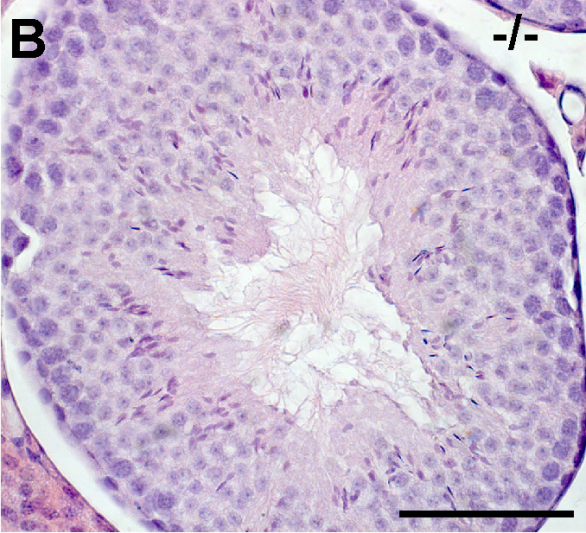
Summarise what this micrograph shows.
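Cross-section of a seminiferous tubule with germ cells from spermatogonia to sperm cells in layers from the wall to the lumen. A thin flat-celled wall bounds the tubule, and a part of a neighbouring tubule lies at the edge. Several rows of round cells with purple nuclei fill the outer and middle epithelium. Elongated dark heads of maturing sperm cells point toward the center in radiating groups set in pale pink cytoplasm. The lumen holds a pale pink meshwork of fine filaments.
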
